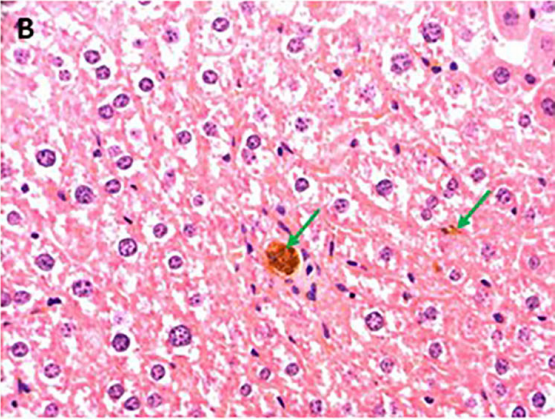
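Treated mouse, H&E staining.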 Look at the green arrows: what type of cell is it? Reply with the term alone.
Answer: pigment laden macrophages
